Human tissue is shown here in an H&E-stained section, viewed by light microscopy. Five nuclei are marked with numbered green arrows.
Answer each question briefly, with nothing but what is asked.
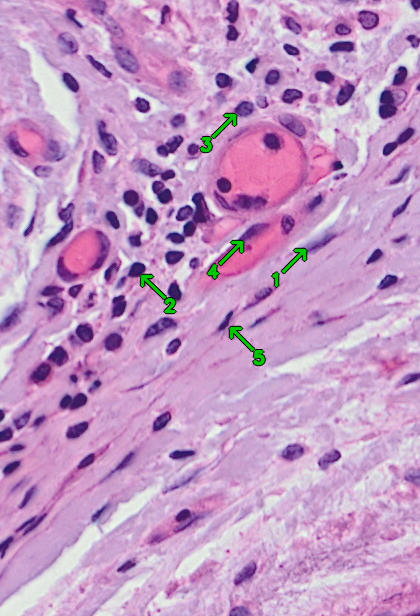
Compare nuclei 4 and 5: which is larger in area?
4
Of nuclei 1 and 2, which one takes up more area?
1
